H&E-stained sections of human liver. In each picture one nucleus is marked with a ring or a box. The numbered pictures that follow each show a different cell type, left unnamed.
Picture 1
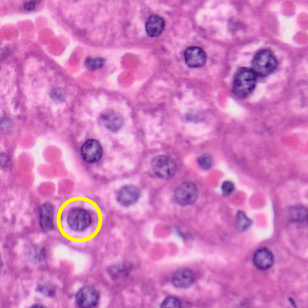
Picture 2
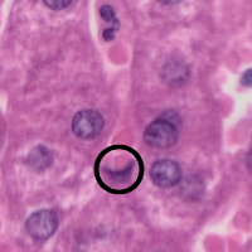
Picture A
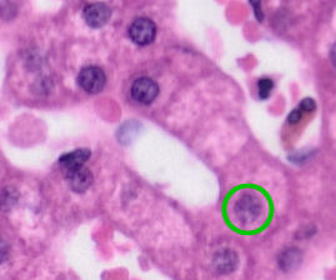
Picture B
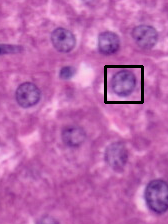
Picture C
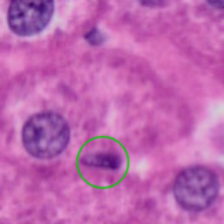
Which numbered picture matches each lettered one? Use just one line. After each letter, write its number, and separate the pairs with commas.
A 1, B 1, C 2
